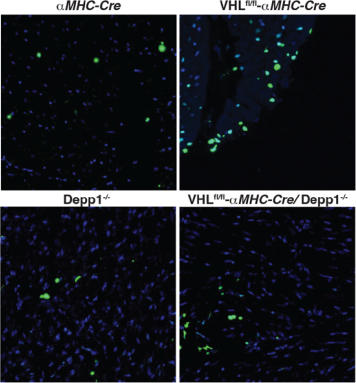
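Fluorescent sections of heart tissue in which many small oval nuclei appear blue, scattered throughout the fields. Bright green, round spots mark a minority of nuclei; they are few in some fields and more numerous in one field, where they cluster along a band of tissue.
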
